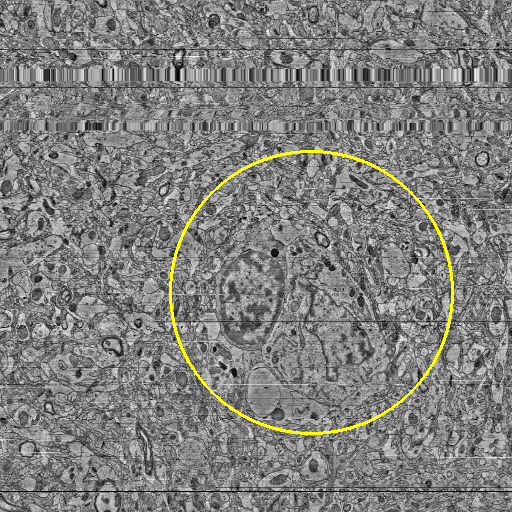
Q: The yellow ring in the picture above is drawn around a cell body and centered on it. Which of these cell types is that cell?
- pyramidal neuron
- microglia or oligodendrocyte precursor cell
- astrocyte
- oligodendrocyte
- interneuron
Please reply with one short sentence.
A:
The cell body at the ring's center belongs to an interneuron.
